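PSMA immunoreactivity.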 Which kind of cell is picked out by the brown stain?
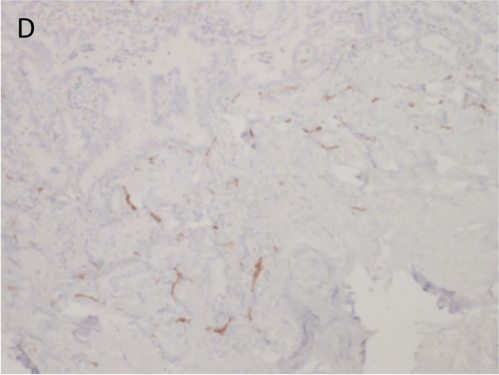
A: Endothelial cells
